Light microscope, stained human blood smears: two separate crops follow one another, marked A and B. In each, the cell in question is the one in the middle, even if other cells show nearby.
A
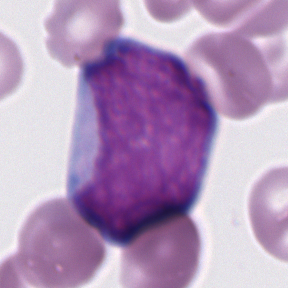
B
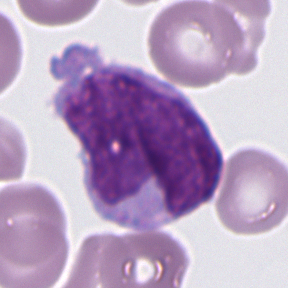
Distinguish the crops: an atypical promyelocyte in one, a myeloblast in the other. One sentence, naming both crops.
Placed in the middle of crop A is a myeloblast, and in the middle of crop B, an atypical promyelocyte.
